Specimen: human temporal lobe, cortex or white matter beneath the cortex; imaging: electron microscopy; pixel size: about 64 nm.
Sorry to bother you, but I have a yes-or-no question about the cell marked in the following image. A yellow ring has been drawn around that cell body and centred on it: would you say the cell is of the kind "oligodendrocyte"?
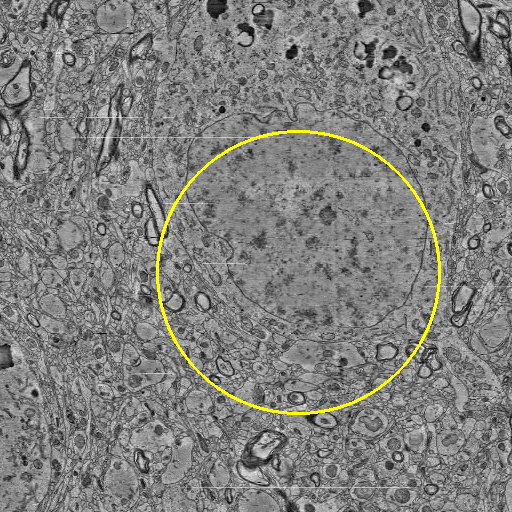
no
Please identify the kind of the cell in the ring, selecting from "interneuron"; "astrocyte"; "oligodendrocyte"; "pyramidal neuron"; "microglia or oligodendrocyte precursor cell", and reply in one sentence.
The cell that the ring is centred on is a pyramidal neuron.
